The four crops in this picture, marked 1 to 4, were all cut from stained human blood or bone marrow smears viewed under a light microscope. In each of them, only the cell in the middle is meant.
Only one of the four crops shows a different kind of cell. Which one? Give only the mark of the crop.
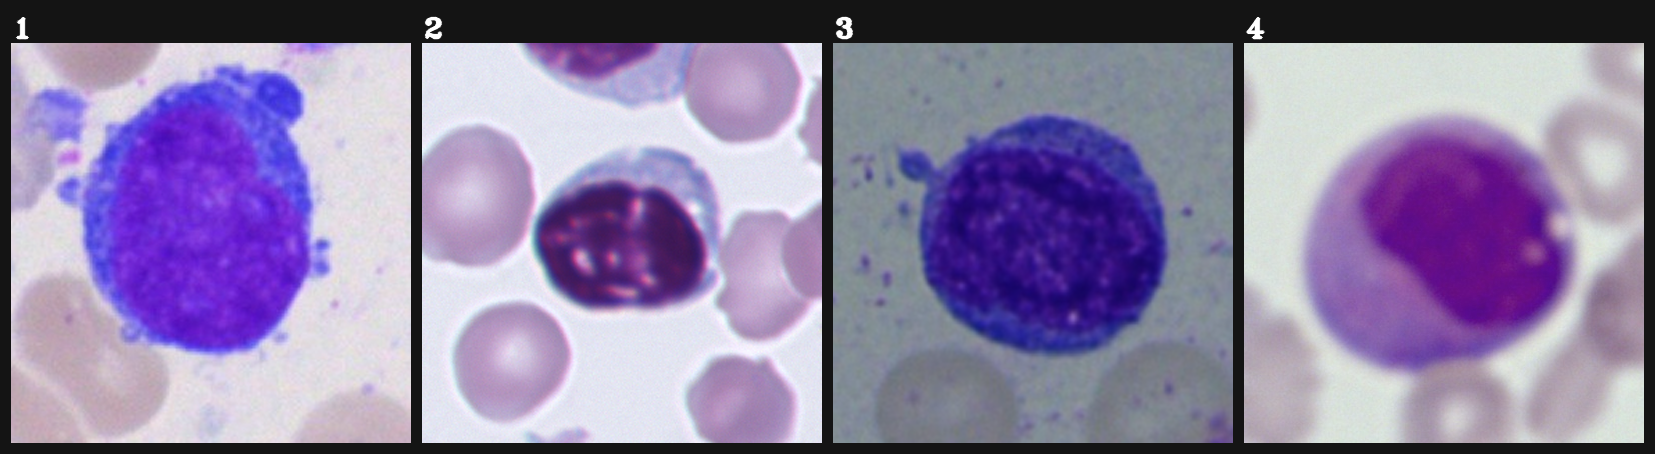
2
